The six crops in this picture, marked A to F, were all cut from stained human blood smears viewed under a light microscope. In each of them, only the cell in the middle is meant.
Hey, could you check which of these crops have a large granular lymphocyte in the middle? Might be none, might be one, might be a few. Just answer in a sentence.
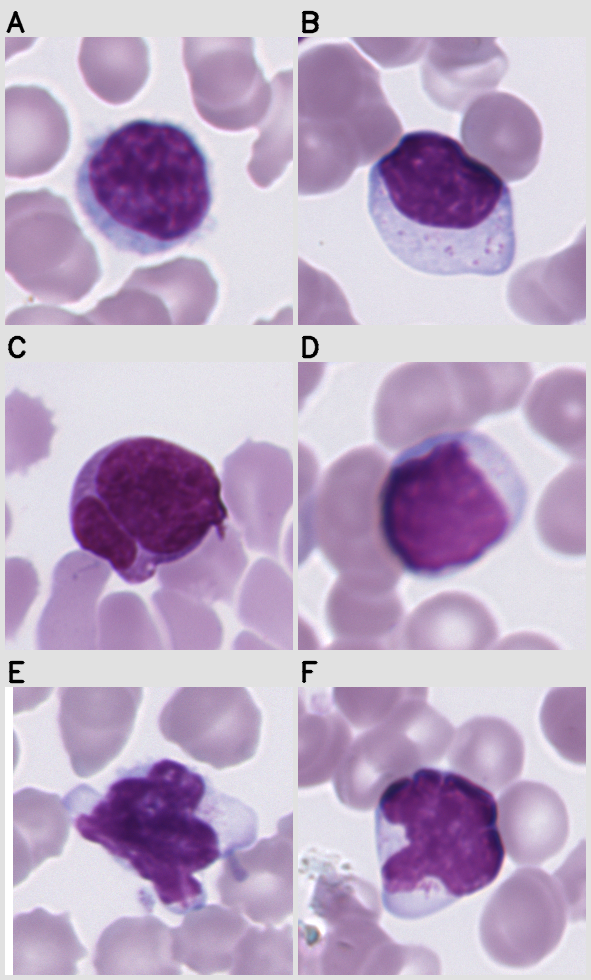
The centrally placed cells in crops B, D and F are large granular lymphocytes.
